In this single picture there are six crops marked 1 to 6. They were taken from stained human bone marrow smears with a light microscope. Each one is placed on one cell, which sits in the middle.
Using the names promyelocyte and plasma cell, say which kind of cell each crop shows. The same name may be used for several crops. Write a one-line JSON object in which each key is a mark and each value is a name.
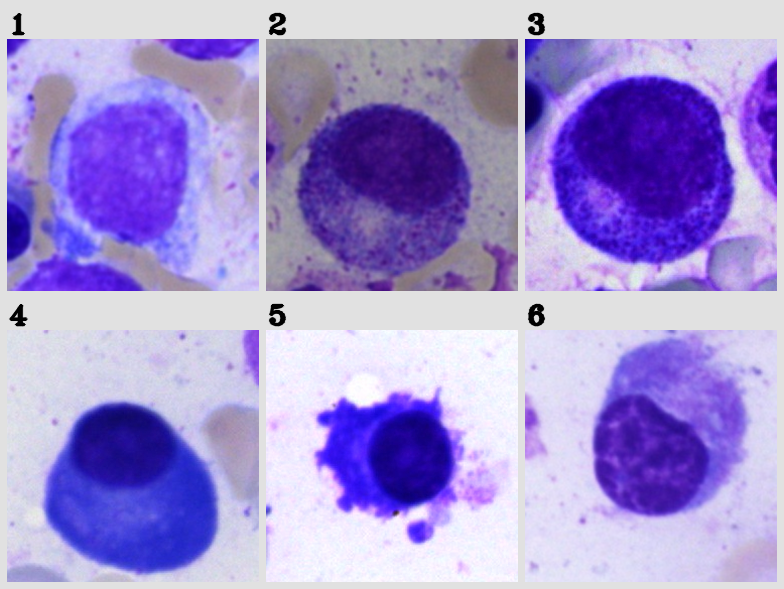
{"1": "promyelocyte", "2": "promyelocyte", "3": "promyelocyte", "4": "plasma cell", "5": "plasma cell", "6": "plasma cell"}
